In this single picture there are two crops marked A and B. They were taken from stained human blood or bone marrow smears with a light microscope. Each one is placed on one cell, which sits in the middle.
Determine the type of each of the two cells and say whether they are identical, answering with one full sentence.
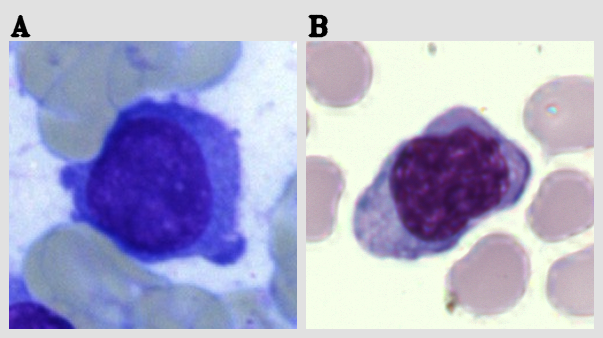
Yes, as shown in both crops, the central cells are plasma cells.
